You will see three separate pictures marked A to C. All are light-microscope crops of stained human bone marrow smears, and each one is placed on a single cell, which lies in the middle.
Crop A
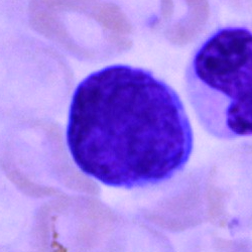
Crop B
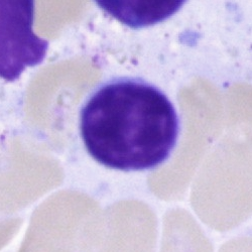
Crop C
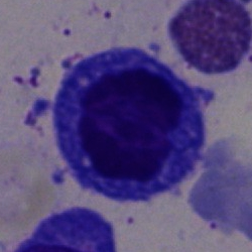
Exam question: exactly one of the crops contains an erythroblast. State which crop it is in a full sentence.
The crop that has an erythroblast in the middle is crop C.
